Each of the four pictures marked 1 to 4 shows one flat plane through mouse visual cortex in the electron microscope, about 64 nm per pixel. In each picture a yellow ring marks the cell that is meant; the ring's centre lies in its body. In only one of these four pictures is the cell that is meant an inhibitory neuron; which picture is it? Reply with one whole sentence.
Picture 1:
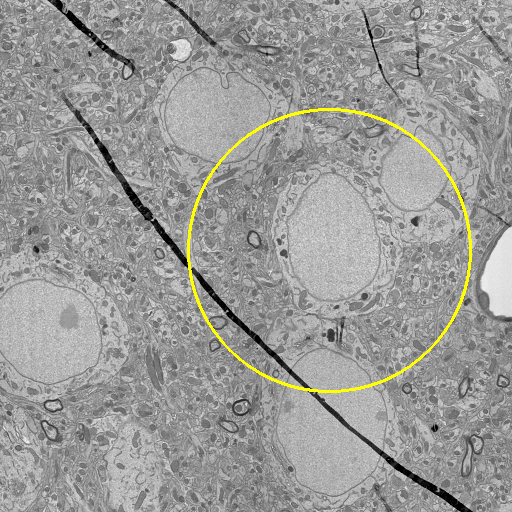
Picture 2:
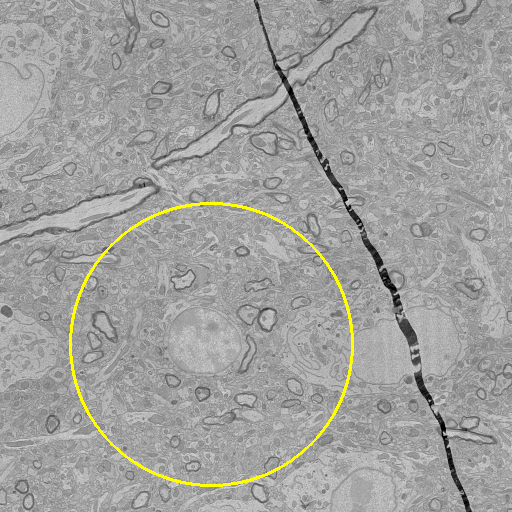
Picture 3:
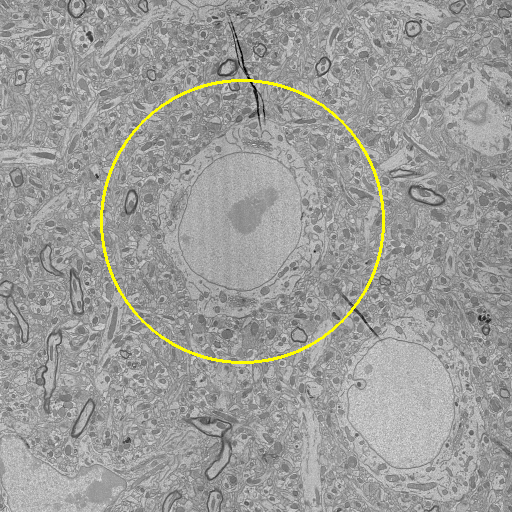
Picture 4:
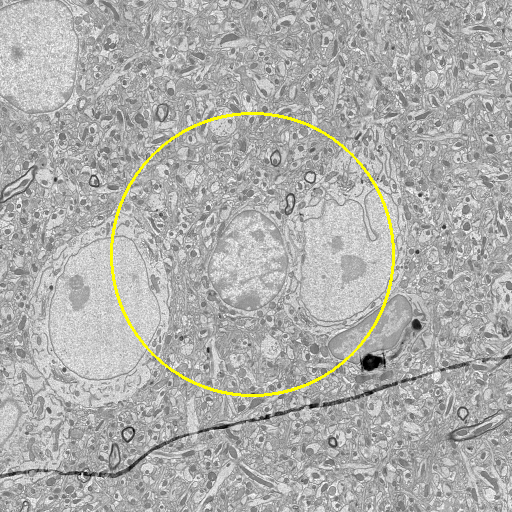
The inhibitory neuron is the one in picture 1.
